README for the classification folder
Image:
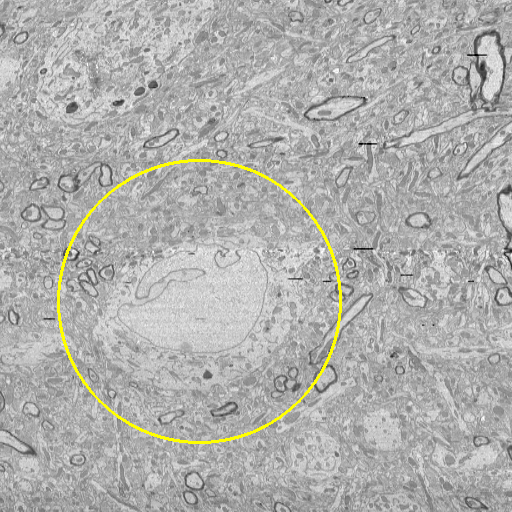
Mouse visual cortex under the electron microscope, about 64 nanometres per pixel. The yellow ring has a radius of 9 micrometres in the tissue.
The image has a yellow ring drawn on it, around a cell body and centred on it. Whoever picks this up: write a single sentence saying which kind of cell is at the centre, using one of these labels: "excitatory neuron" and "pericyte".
This cell body is that of an excitatory neuron.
